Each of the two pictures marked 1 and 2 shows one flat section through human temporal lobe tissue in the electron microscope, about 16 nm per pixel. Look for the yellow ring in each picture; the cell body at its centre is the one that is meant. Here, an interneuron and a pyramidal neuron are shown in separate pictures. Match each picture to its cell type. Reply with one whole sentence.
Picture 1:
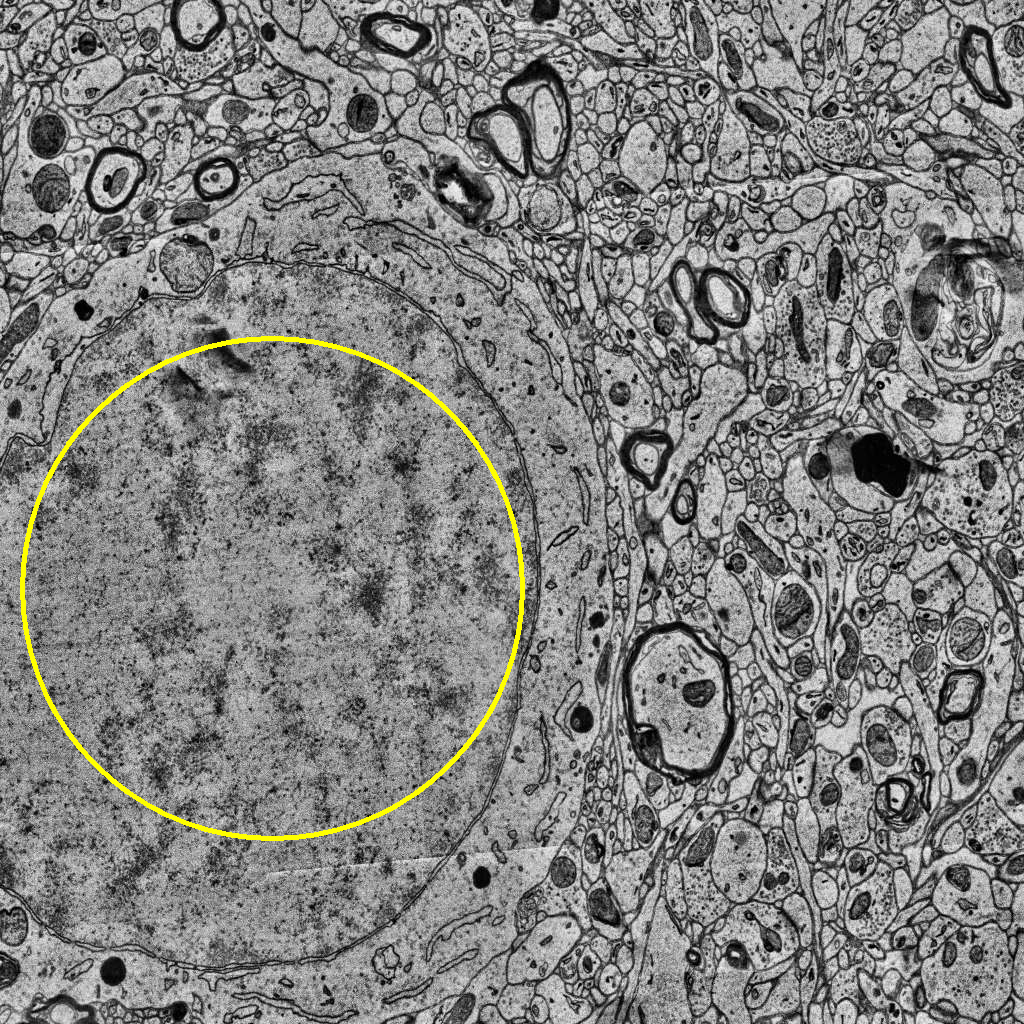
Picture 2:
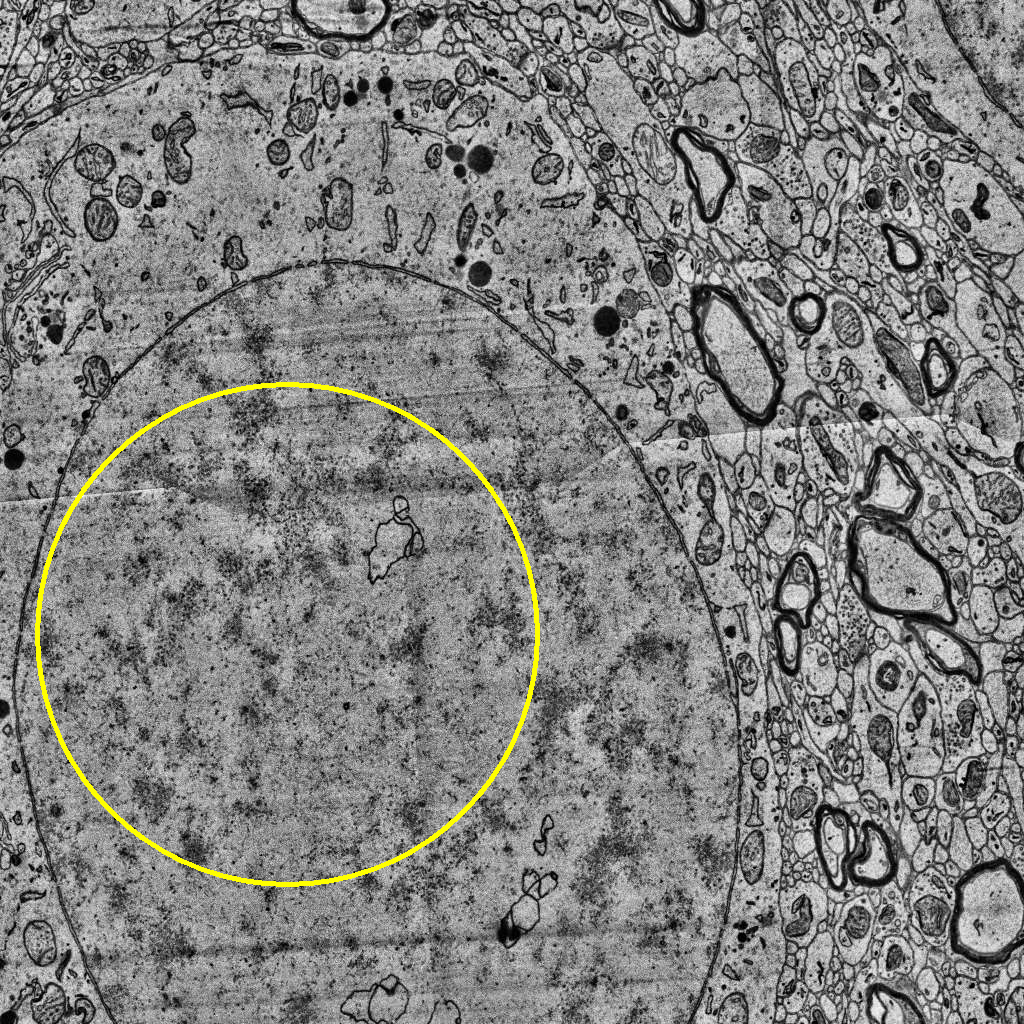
Picture 1 is of an interneuron, and picture 2 is of a pyramidal neuron.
